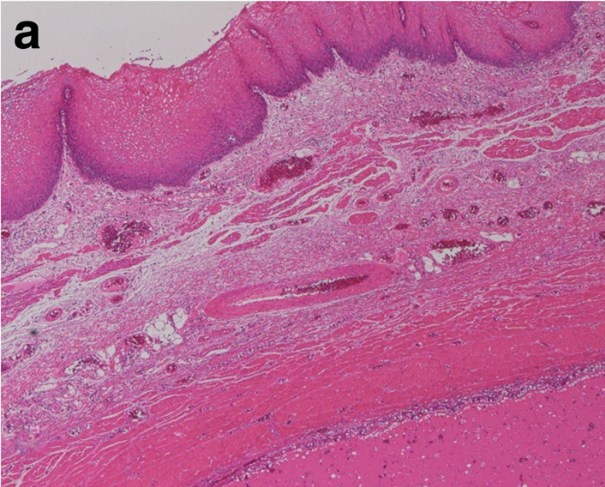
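Along the top edge lies a thick stratified epithelium, purple at its base and paler toward the surface, with folds pushing down into the tissue below. Under it lies loose connective tissue with blood-filled vessels, then pink bundles of muscle running across the field above a pale pink region at the bottom.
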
